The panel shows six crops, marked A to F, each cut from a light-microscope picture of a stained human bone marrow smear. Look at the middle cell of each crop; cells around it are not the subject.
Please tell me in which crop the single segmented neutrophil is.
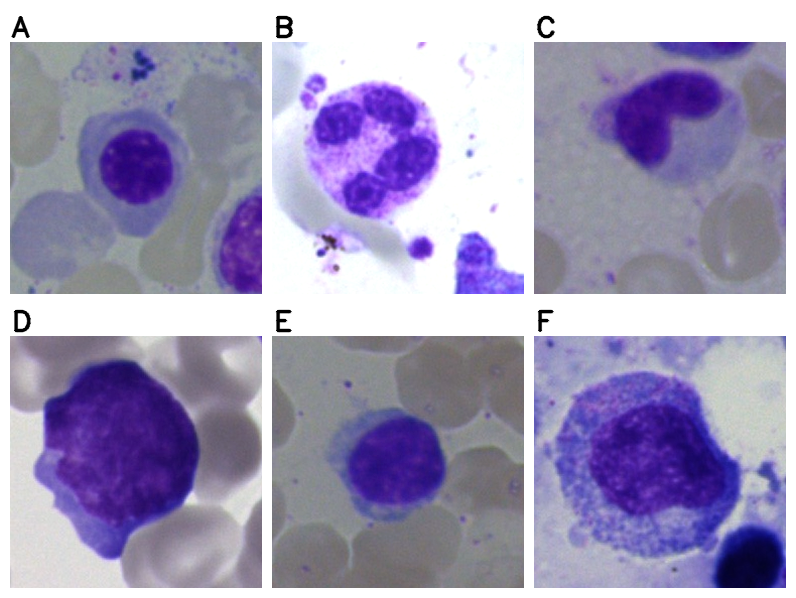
B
